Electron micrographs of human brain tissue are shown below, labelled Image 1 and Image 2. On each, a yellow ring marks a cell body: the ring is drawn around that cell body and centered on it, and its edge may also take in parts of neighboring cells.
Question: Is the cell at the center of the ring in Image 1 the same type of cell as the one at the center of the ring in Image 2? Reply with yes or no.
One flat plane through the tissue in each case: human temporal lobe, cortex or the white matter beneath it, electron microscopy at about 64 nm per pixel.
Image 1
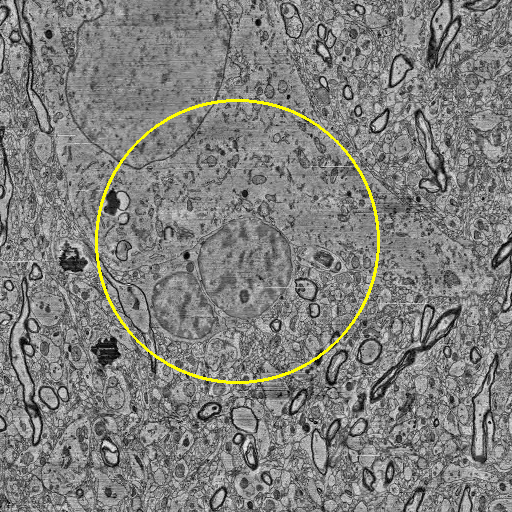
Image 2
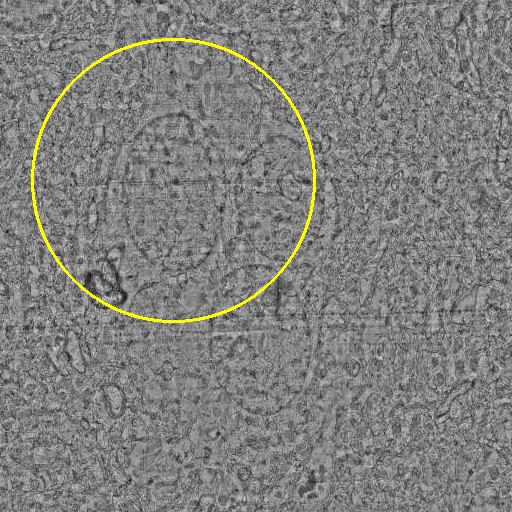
no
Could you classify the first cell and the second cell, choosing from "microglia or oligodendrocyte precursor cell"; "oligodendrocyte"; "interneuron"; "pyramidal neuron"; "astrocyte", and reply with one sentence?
The second cell is an astrocyte, while the first is an oligodendrocyte.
